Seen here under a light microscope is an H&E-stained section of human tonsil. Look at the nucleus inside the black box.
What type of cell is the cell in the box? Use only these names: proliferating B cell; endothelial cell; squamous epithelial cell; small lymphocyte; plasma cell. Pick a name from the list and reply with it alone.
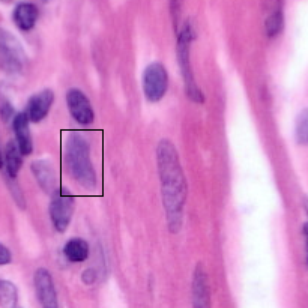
endothelial cell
